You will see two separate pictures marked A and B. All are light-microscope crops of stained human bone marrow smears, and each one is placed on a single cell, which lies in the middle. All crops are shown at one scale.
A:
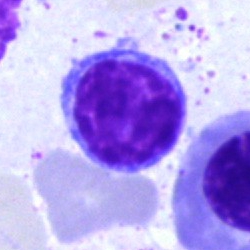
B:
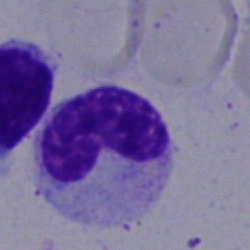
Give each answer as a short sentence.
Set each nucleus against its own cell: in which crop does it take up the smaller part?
Of the two, the nucleus in picture B leaves more room for cytoplasm.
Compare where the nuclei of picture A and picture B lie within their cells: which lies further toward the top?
Seen within its cell, the nucleus in picture B lies further toward the top.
